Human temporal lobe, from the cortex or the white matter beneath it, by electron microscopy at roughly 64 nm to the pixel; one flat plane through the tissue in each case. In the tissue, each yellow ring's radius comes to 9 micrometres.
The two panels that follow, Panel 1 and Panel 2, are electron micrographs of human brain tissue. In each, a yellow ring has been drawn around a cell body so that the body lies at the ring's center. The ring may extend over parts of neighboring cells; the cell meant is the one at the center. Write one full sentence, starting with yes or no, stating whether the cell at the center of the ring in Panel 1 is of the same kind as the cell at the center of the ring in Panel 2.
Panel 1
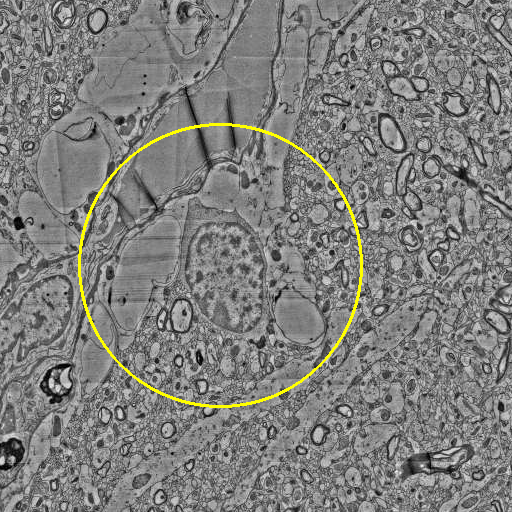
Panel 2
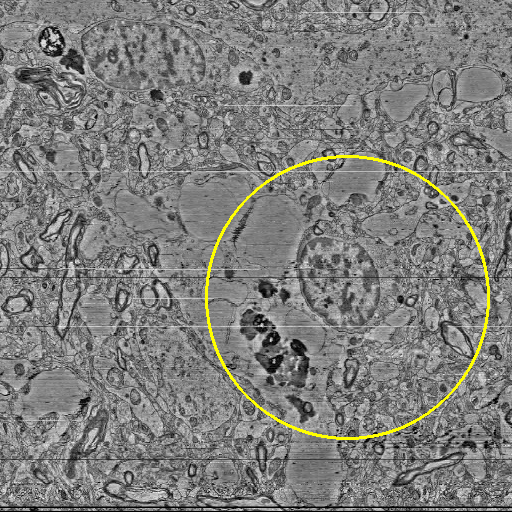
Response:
Yes, the cells in both panels are of the same kind.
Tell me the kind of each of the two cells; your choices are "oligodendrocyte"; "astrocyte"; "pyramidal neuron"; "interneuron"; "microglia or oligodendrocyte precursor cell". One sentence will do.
Each of the two rings is centred on an oligodendrocyte.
